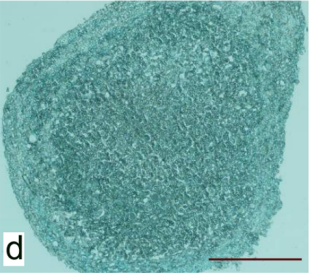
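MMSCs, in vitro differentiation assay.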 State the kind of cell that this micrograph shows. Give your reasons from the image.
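A compact rounded pellet of tissue is stained blue-green throughout. The pellet is densely packed with small cells in a stained matrix. On this evidence: chondrocytes.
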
